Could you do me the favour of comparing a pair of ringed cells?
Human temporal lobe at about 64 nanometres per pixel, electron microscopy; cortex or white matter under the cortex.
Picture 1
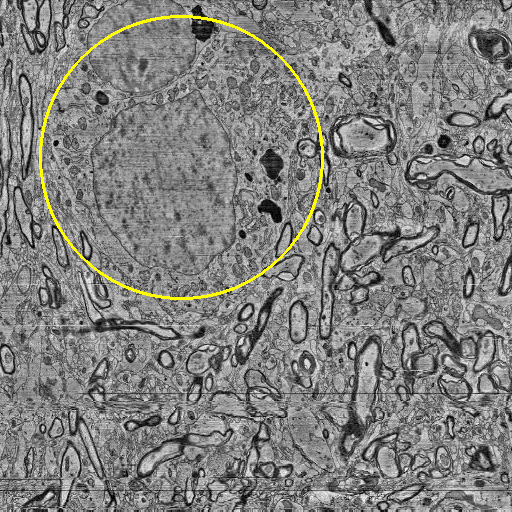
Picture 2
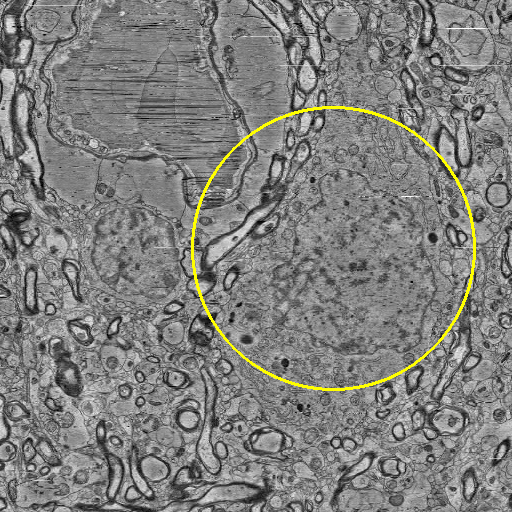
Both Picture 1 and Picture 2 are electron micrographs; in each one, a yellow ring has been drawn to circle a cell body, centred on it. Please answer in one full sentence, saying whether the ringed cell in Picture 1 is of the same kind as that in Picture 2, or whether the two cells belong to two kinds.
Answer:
The ringed cell in Picture 1 is of the same kind as that in Picture 2.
